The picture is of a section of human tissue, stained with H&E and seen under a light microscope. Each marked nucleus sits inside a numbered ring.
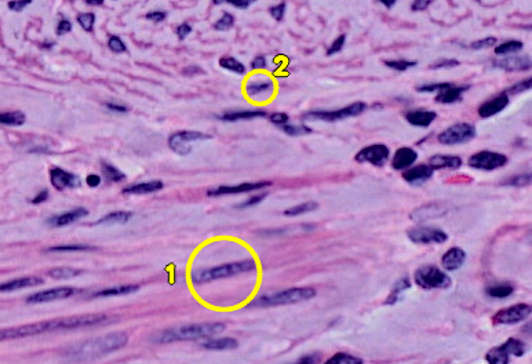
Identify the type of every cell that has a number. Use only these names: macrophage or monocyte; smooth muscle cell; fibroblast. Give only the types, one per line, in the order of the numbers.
smooth muscle cell
fibroblast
